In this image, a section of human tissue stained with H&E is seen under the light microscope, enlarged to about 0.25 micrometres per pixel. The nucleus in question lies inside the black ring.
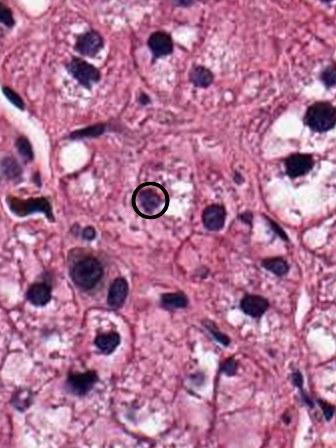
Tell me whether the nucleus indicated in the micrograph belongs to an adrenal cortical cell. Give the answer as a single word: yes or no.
yes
